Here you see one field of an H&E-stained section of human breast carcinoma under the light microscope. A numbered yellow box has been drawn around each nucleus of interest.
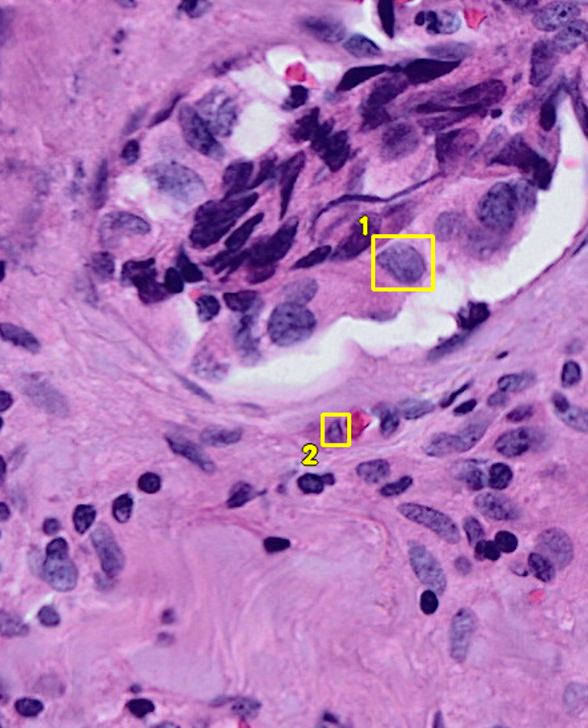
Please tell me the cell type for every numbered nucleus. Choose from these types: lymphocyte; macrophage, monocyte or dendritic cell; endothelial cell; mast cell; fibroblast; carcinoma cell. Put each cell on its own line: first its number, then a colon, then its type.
1: carcinoma cell
2: endothelial cell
